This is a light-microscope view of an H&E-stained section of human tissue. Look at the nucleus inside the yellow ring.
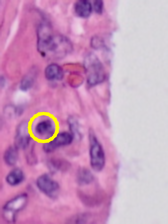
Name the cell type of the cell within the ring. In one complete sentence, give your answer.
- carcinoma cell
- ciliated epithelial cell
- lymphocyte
So far as cell type goes, the cell within the ring is a lymphocyte.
